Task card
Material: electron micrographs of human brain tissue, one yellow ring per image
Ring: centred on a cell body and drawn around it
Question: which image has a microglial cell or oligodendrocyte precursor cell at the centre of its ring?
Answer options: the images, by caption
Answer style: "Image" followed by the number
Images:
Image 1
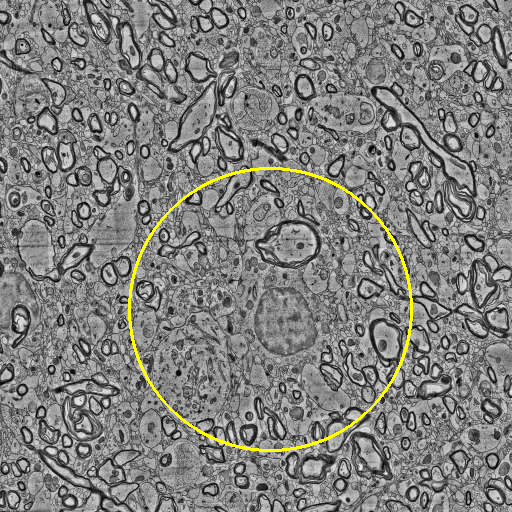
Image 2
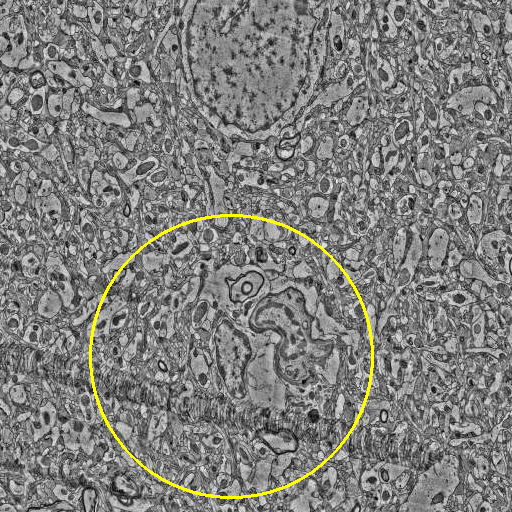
Image 2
